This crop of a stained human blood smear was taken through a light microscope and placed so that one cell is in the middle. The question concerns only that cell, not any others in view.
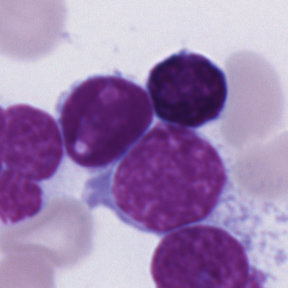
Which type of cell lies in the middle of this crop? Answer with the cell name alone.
blast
